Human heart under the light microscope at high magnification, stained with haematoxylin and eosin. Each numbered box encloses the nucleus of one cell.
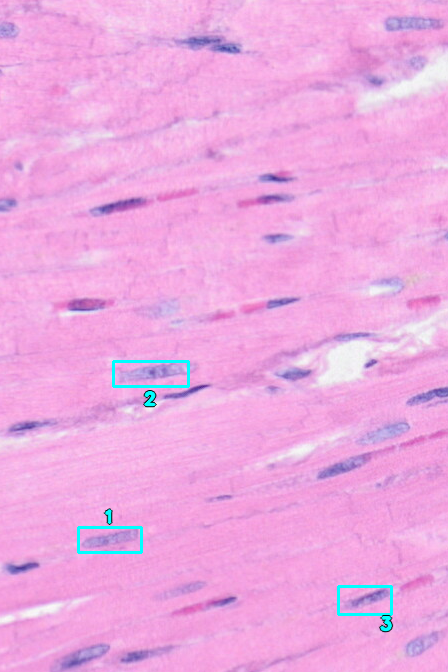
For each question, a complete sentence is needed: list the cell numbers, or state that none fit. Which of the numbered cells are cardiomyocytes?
The cells numbered 1 and 2 fall into the category of cardiomyocytes.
